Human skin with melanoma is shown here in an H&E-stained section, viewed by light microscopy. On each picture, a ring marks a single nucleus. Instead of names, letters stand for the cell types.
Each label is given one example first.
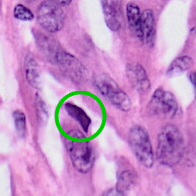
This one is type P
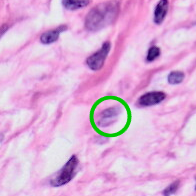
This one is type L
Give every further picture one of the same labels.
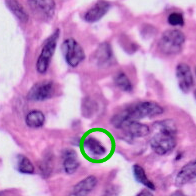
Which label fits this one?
type P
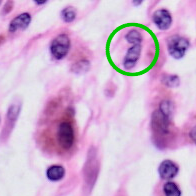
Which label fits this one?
type L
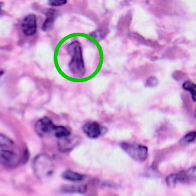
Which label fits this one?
type L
